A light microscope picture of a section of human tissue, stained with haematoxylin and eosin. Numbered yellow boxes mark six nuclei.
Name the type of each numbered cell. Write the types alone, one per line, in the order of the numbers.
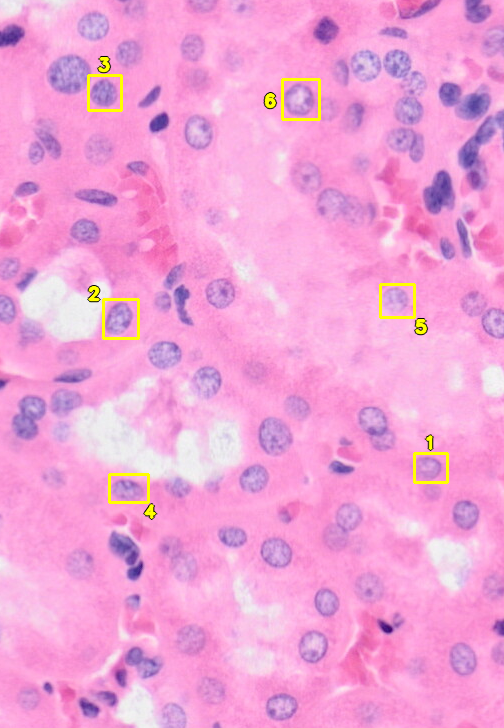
proximal tubule cell
loop of Henle or distal tubule cell
loop of Henle or distal tubule cell
loop of Henle or distal tubule cell
proximal tubule cell
proximal tubule cell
